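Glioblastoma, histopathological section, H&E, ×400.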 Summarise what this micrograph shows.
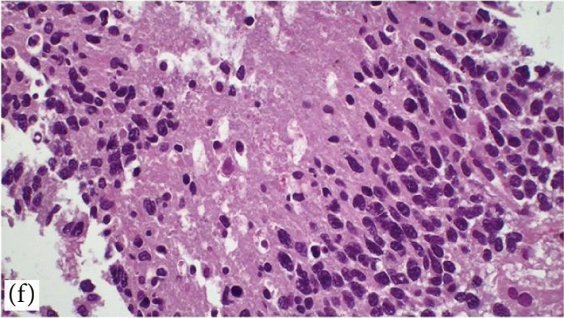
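This section of a glial tumor shows a band of necrosis with tumor cells crowding at its edges. On either side the tumor cells are packed densely, their dark purple oval and elongated nuclei pressed close together and lined up along the border of the necrotic zone. The nuclei vary in size and shape and are dark staining, and the cytoplasm between them is scant and pink. This crowding of cells around a necrotic centre is the pattern to recognise.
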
